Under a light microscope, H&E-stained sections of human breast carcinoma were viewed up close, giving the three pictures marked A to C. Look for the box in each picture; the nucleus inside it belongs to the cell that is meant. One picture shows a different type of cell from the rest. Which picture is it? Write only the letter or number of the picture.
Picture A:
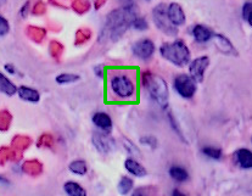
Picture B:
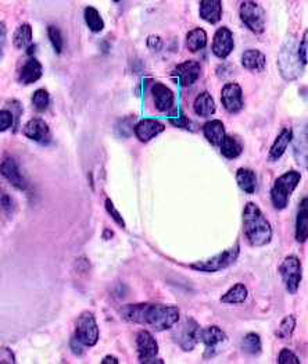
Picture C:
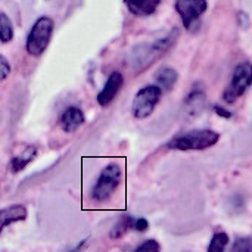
B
